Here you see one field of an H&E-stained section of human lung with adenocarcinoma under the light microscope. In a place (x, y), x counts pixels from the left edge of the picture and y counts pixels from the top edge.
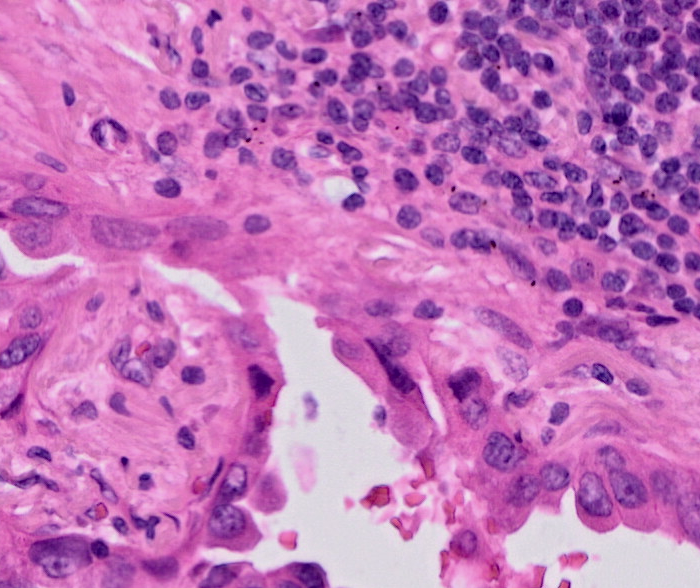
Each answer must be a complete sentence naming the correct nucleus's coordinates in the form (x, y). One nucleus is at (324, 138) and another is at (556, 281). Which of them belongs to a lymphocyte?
The nucleus contained in a lymphocyte is the one at (324, 138).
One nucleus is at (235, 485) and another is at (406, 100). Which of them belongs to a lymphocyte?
Among the two nuclei, the one lying at (406, 100) is part of a lymphocyte.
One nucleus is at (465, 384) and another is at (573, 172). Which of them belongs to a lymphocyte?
The nucleus at (573, 172) is the one that belongs to a lymphocyte.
